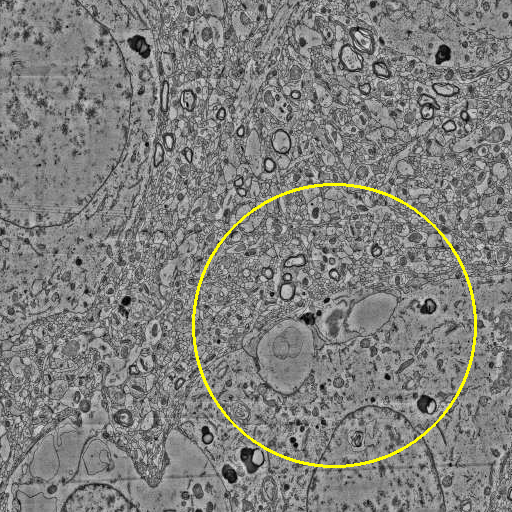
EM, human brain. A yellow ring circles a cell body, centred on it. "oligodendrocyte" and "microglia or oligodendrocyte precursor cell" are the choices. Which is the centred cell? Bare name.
microglia or oligodendrocyte precursor cell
